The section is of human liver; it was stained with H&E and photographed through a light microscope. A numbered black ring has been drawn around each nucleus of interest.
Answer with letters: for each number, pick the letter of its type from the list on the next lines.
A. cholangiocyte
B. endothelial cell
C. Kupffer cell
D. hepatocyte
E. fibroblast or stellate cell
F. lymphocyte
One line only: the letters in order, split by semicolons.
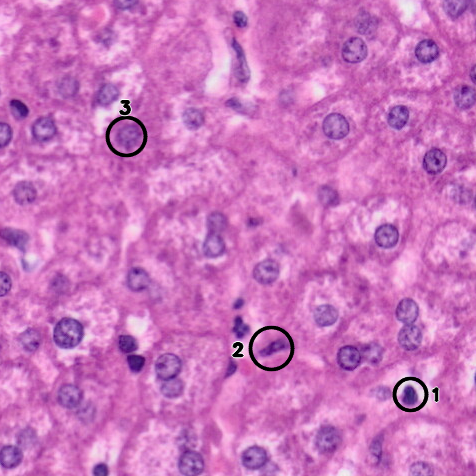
F; C; D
